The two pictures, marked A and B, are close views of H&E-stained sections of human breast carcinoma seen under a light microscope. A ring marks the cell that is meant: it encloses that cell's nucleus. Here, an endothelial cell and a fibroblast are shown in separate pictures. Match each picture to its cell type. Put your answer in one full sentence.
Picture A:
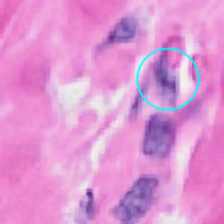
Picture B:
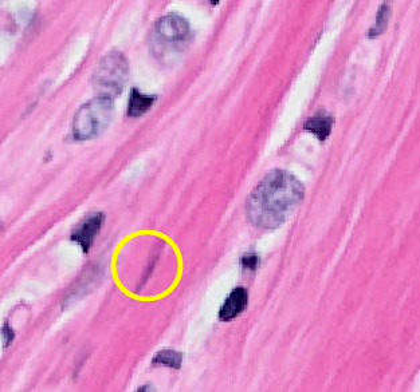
The cell in picture A is an endothelial cell, and the one in picture B is a fibroblast.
